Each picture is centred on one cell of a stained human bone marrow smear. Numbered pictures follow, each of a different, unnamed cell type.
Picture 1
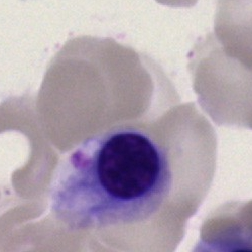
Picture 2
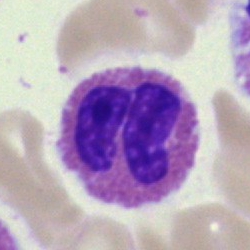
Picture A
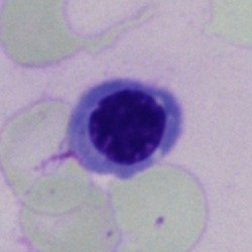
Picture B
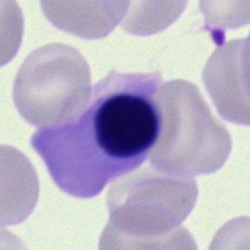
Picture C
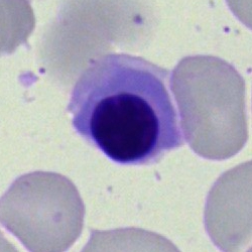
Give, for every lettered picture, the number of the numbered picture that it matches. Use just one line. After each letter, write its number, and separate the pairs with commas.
A 1, B 1, C 1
